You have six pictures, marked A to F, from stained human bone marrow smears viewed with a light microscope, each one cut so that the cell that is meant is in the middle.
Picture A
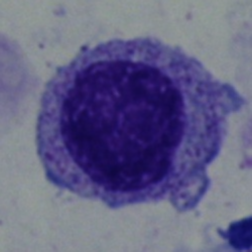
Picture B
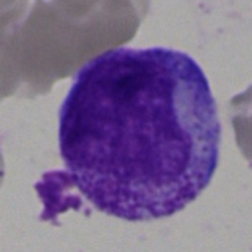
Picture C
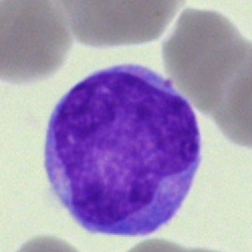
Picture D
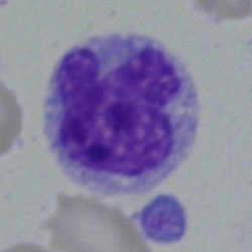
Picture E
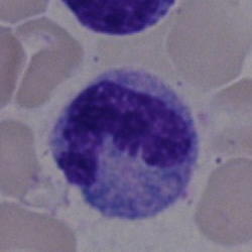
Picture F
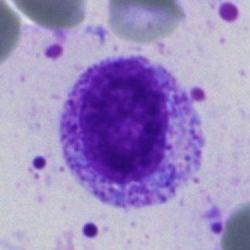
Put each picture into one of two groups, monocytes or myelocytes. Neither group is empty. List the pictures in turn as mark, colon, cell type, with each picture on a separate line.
A: myelocyte
B: myelocyte
C: monocyte
D: monocyte
E: monocyte
F: myelocyte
